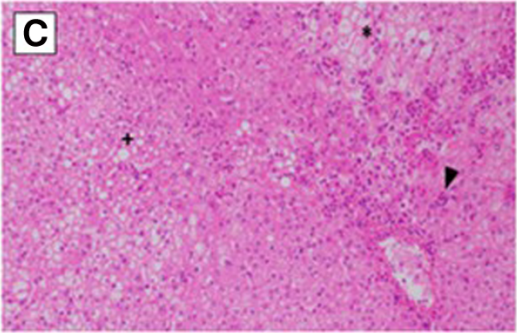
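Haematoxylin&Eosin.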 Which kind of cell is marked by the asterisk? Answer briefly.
Hydropic/glycogenated hepatocytes.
